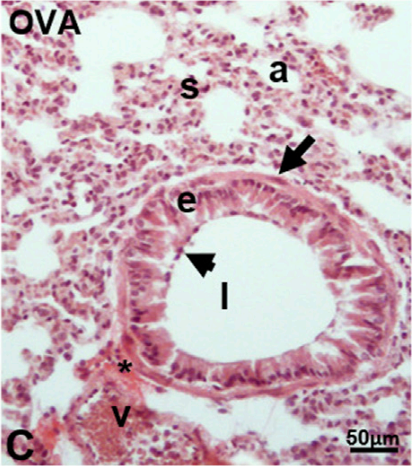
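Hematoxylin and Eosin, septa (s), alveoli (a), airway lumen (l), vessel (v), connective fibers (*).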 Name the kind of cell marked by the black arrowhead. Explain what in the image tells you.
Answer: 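The arrowhead points into the tall epithelium lining the airway lumen. Many epithelial cells show pale apical cytoplasm.
Answer: goblet cells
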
